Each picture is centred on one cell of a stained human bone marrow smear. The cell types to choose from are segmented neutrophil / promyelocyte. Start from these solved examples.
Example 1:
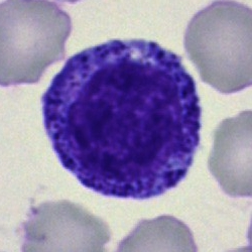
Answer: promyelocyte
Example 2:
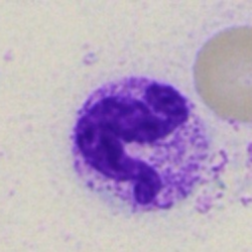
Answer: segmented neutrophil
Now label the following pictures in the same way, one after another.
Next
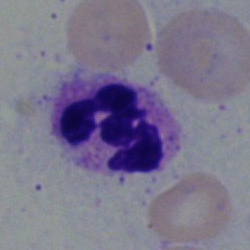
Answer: segmented neutrophil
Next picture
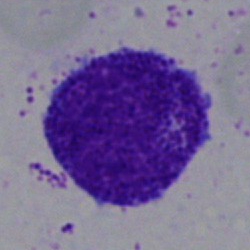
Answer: promyelocyte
